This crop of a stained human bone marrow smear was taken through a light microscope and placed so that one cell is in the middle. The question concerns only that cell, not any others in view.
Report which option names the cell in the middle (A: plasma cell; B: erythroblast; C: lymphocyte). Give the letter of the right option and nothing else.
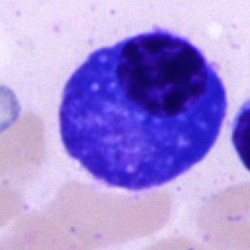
A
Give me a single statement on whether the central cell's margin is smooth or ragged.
A smooth, projection-free outline is what this cell has.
